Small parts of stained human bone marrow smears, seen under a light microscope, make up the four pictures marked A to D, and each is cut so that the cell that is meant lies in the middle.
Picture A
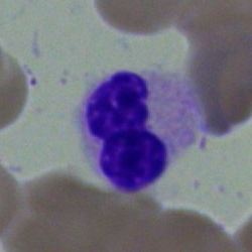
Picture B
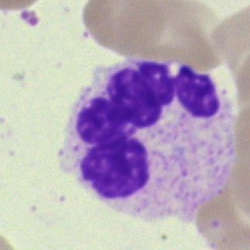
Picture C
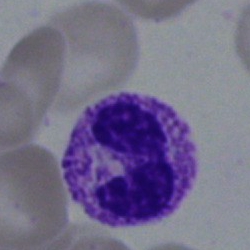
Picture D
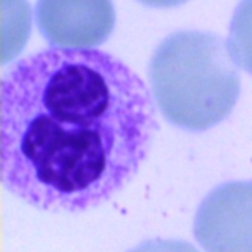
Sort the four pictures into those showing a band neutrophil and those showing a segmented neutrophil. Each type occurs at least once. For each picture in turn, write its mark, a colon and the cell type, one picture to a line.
A: segmented neutrophil
B: segmented neutrophil
C: band neutrophil
D: segmented neutrophil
